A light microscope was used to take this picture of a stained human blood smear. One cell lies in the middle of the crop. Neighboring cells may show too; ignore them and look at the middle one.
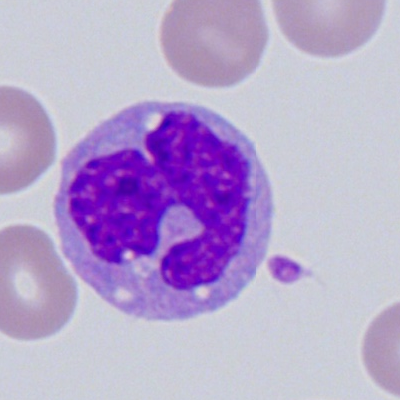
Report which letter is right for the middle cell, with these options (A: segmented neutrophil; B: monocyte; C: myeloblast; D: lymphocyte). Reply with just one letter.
B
